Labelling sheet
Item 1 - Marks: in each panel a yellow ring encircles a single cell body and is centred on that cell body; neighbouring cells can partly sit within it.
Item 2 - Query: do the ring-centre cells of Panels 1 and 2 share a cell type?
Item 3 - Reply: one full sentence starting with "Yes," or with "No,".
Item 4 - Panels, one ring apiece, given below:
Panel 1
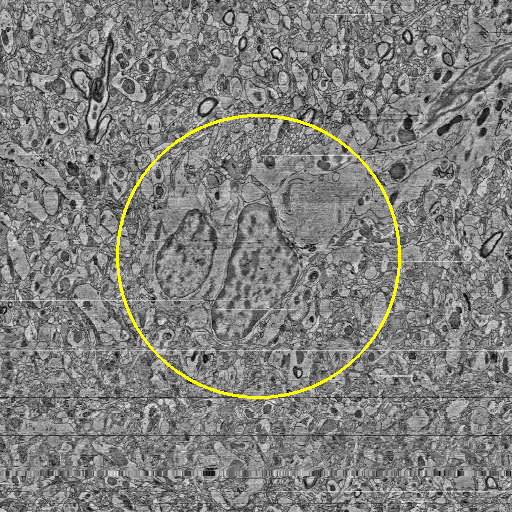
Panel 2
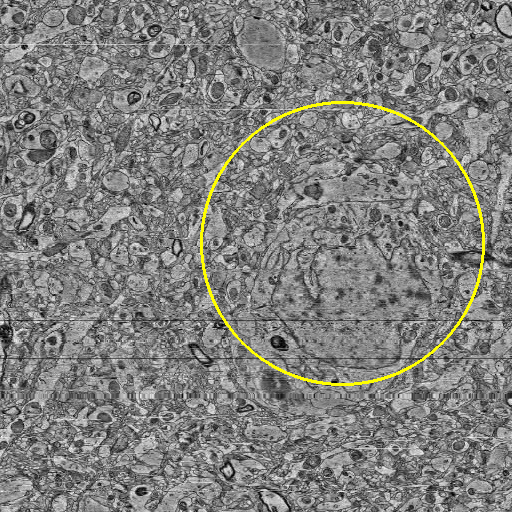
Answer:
No, Panel 1 and Panel 2 show two cell types at the centres of their rings.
